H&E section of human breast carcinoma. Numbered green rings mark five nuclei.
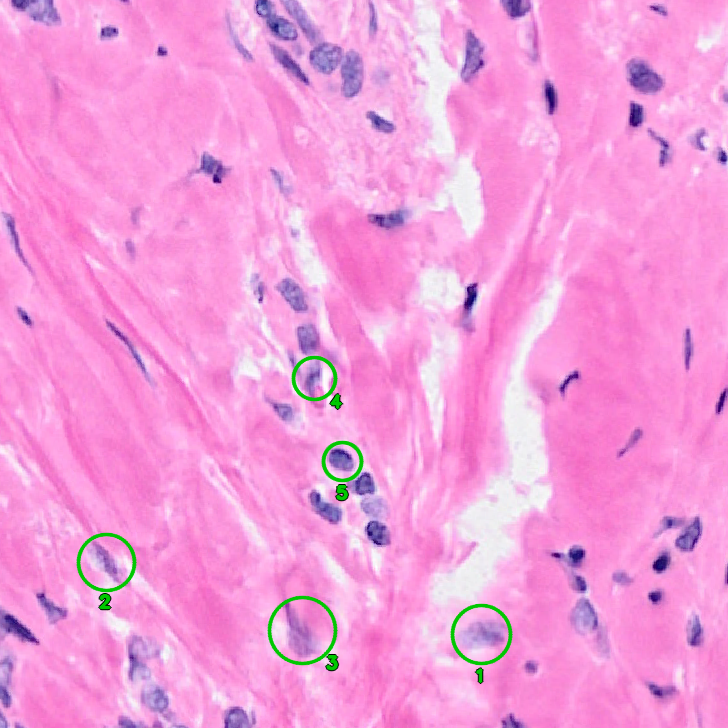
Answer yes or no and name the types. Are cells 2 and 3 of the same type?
Yes, and to be precise, cells 2 and 3 are both fibroblasts.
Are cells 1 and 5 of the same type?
No, cell 1 is a fibroblast whereas cell 5 is a lymphocyte.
